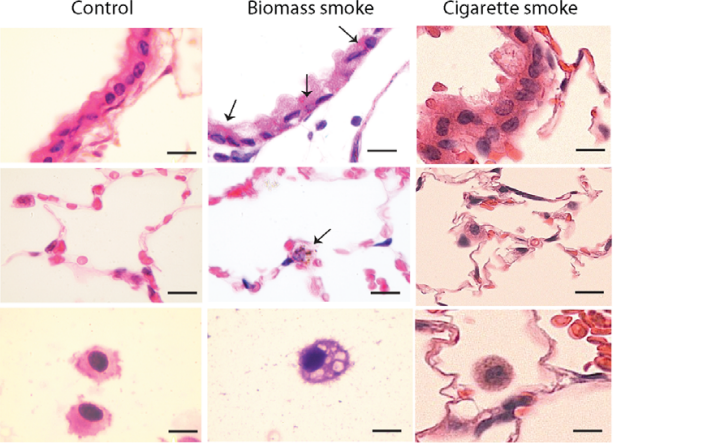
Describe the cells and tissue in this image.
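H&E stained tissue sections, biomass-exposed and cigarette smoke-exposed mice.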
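This grid of pink-and-purple stained lung shows three kinds of view. The top row is an airway lining of closely packed epithelial cells with oval purple nuclei. The middle row is thin-walled alveolar septa, and the bottom row is single rounded cells with a dark nucleus, which are macrophages.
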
